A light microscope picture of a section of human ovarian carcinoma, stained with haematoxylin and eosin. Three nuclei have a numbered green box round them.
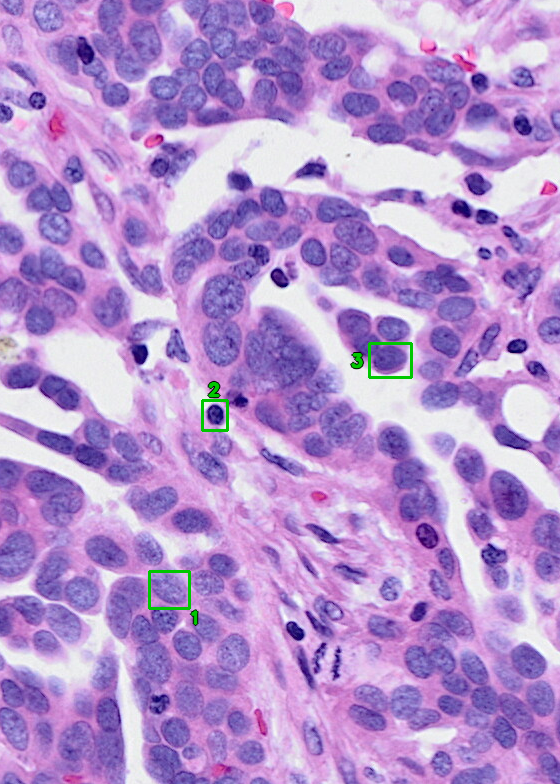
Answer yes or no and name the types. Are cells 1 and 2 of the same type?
No, cell 1 is a carcinoma cell and cell 2 is a lymphocyte.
